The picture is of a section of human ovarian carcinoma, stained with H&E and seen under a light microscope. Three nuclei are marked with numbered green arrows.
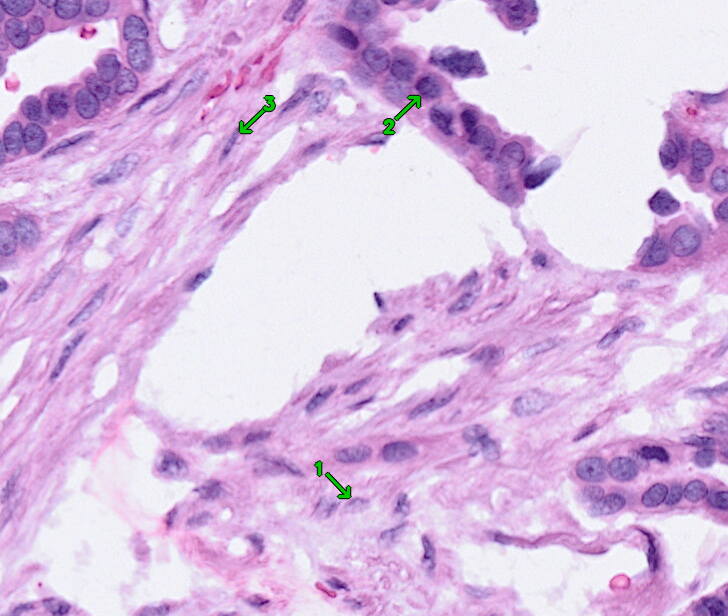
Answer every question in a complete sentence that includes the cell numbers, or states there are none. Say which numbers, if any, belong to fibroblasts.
The cells that have been numbered 1 and 3 are fibroblasts.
